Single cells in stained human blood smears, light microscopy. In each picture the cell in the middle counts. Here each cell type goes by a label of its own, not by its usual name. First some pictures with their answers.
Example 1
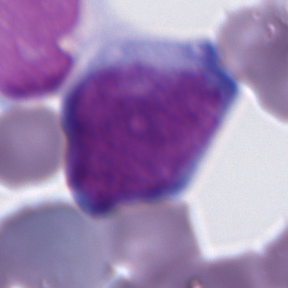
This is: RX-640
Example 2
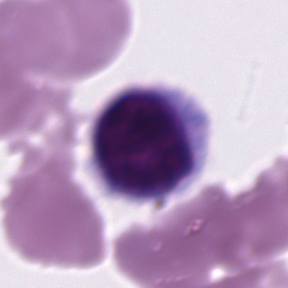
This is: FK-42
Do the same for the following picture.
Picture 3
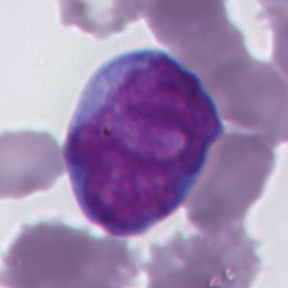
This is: RX-640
